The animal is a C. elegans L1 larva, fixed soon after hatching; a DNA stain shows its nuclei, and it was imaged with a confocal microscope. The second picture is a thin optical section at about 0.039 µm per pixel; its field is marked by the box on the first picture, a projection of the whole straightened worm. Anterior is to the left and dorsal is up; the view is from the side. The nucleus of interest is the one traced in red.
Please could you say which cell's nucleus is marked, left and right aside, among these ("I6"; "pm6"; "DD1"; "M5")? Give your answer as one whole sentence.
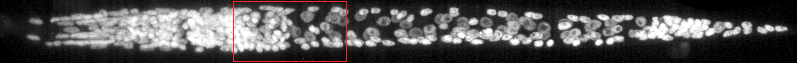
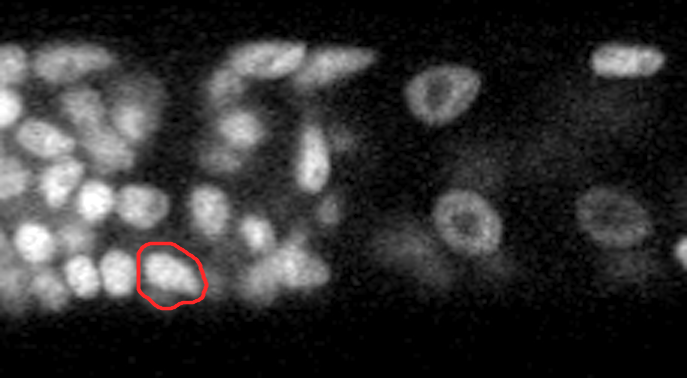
The nucleus is from DD1, a neuron.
